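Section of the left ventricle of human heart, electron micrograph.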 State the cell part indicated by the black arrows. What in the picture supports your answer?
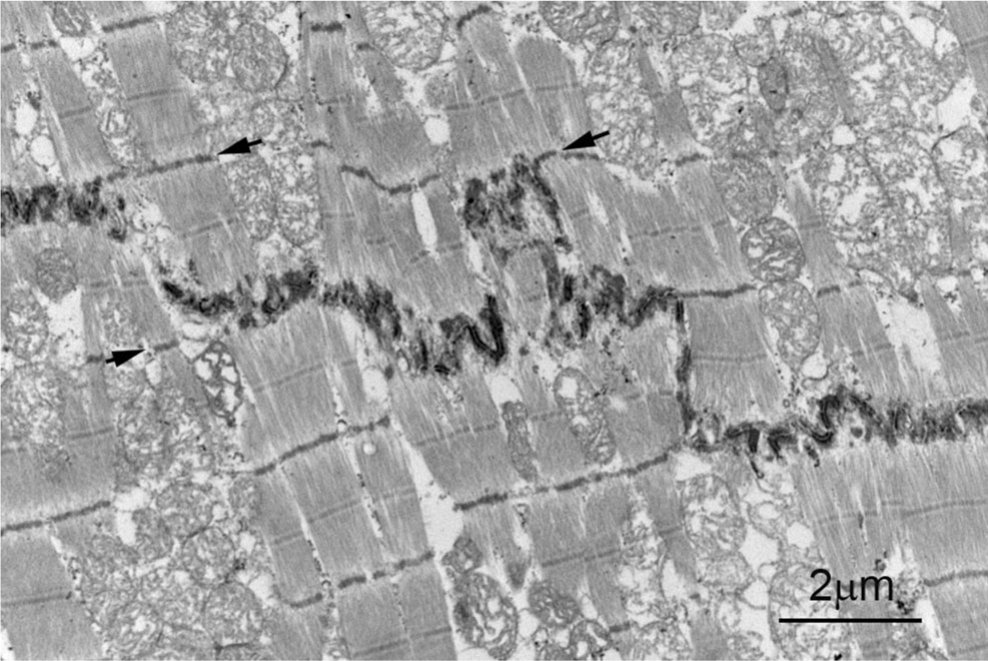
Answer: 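The arrows point to thin dark transverse bands crossing the myofibrils. These bands repeat at regular intervals along the striated myofibrils. So: Z-discs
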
